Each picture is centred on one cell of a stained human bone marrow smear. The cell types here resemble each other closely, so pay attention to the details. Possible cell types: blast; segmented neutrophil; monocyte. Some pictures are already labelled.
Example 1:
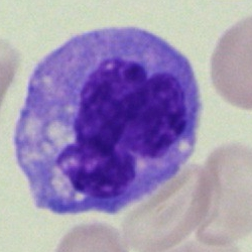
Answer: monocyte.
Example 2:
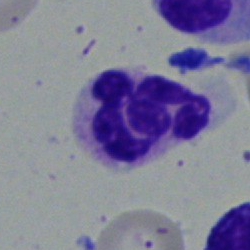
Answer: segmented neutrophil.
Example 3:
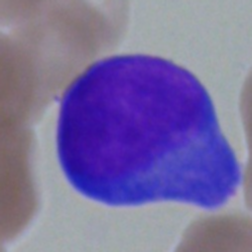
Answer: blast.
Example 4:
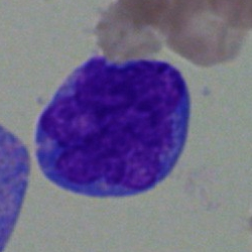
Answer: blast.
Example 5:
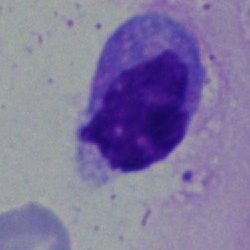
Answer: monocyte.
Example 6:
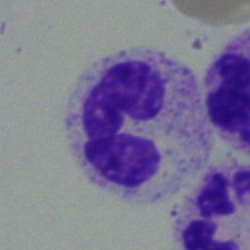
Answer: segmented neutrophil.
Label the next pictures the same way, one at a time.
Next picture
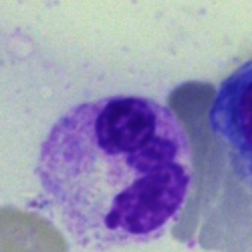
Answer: segmented neutrophil.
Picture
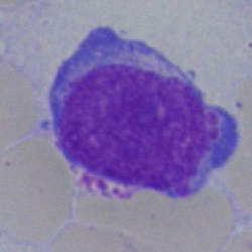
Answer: blast.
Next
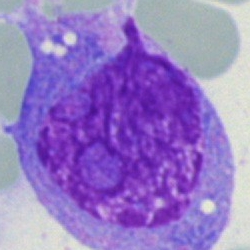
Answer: blast.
